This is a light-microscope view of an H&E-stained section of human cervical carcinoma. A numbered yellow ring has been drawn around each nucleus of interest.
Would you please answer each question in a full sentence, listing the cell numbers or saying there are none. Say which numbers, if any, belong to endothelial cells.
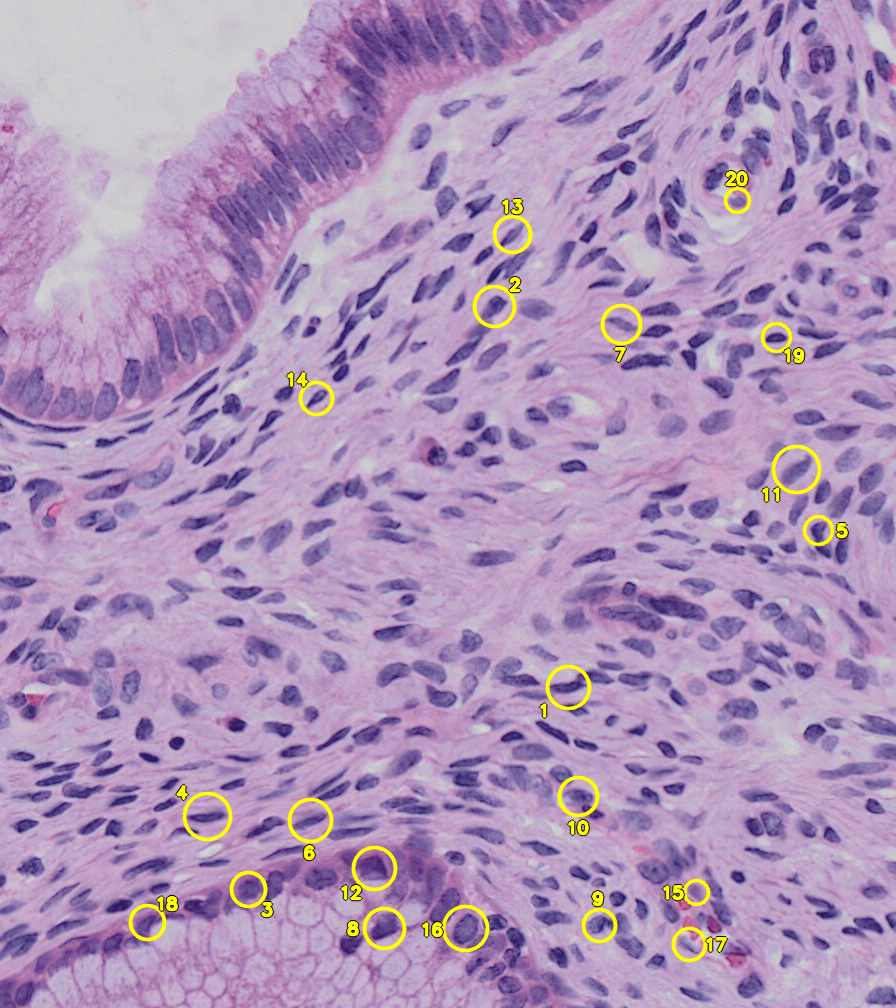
The cells whose numbers are 10, 15, 17 and 20 are endothelial cells.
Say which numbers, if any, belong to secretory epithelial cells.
The cells tagged with numbers 3, 8, 12, 16 and 18 are secretory epithelial cells.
